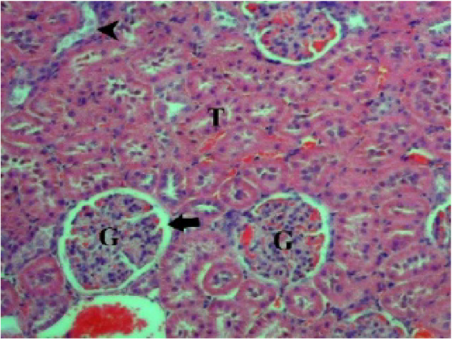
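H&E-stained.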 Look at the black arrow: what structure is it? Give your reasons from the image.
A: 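Bowman's space. The arrow points at a clear crescent-shaped gap around a round cellular tuft. The gap is bounded outside by a thin capsule.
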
